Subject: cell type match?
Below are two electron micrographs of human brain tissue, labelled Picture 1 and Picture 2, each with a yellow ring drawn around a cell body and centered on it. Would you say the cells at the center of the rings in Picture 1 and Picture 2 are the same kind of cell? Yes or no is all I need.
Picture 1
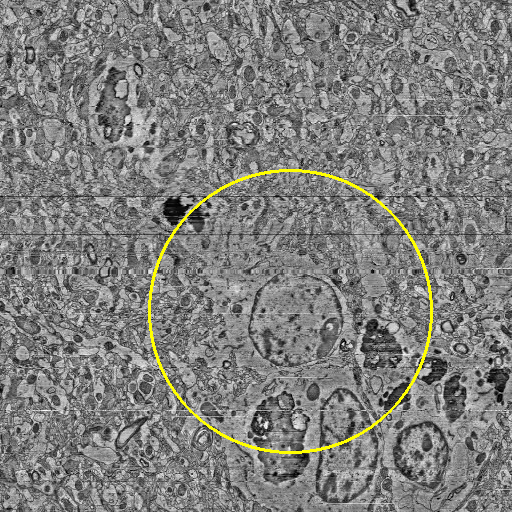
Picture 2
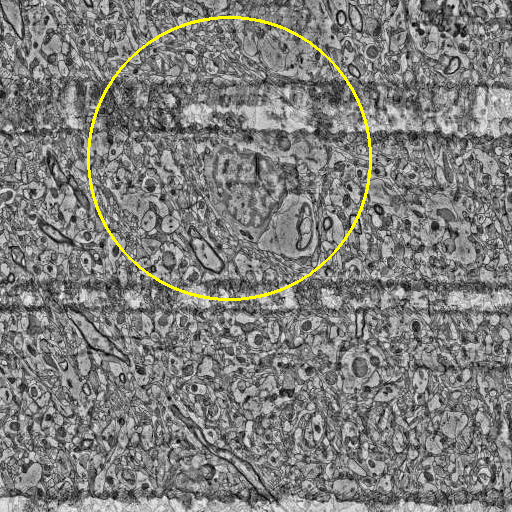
no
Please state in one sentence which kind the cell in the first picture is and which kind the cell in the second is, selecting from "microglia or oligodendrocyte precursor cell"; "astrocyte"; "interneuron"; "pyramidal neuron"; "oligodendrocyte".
The first ringed cell is an astrocyte, the second ringed cell an oligodendrocyte.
